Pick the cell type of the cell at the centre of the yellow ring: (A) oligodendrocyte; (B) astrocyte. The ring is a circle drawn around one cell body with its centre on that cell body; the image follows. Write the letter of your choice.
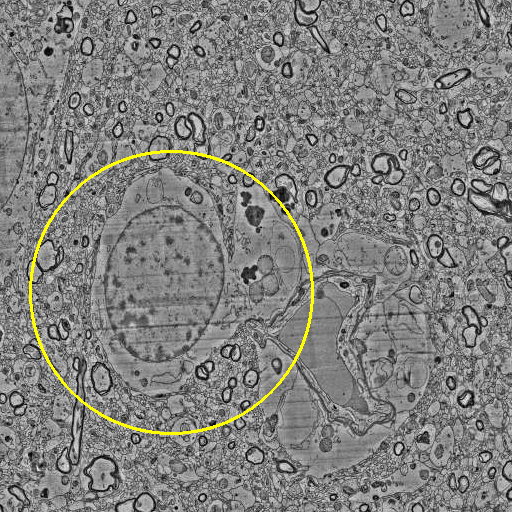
B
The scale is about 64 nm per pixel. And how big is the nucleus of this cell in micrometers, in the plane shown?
Roughly 10 by 8 micrometres in this plane, for the nucleus of the ringed cell.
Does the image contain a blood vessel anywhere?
Yes, one is visible.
